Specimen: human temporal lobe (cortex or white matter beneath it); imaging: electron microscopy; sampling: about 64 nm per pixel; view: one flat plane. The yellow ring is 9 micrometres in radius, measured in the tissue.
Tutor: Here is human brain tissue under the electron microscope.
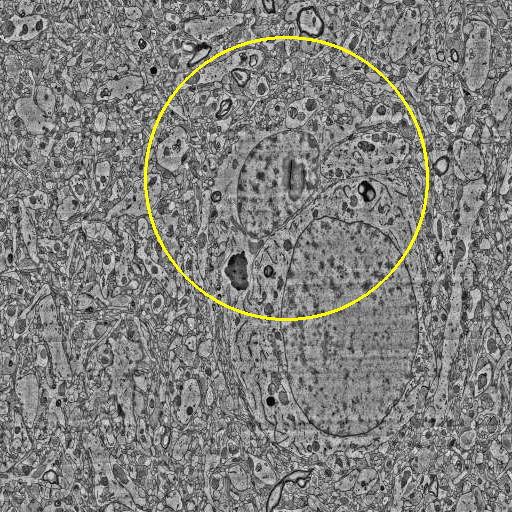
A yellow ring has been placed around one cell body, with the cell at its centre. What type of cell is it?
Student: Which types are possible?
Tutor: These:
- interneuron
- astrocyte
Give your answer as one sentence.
What the ring picks out here is an astrocyte.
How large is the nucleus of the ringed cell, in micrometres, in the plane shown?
The nucleus comes to roughly 7 by 5 micrometres in this plane.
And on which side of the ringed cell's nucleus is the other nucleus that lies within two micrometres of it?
The other one lies to the lower right of it.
